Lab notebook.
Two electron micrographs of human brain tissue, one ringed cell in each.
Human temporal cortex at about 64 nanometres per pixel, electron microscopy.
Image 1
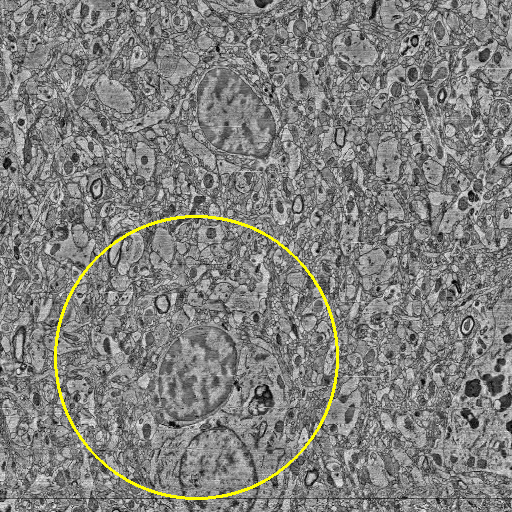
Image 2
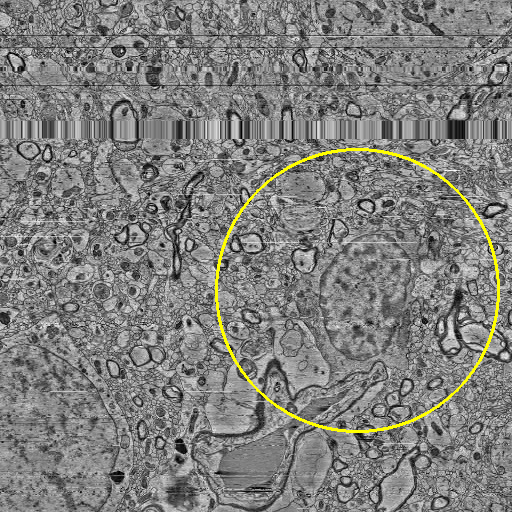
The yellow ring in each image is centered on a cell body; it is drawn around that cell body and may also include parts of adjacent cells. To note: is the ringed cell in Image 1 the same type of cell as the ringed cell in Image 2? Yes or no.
yes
